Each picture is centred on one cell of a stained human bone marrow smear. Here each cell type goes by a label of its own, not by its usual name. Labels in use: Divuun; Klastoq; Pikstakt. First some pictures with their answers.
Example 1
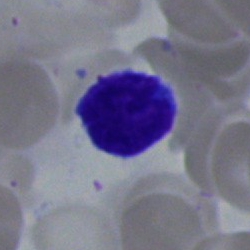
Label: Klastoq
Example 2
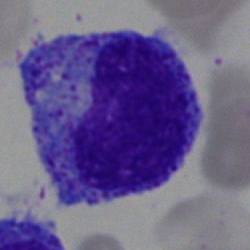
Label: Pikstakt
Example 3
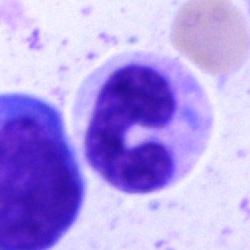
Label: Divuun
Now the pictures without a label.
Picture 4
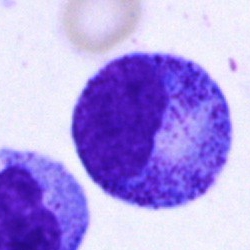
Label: Pikstakt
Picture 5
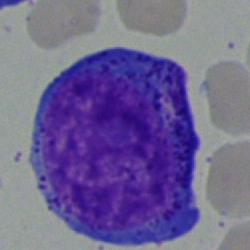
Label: Pikstakt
